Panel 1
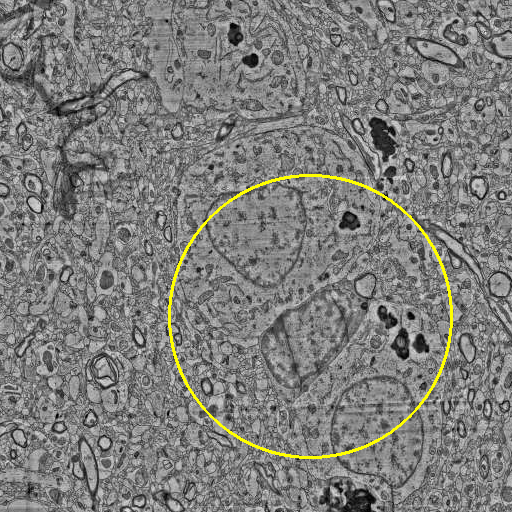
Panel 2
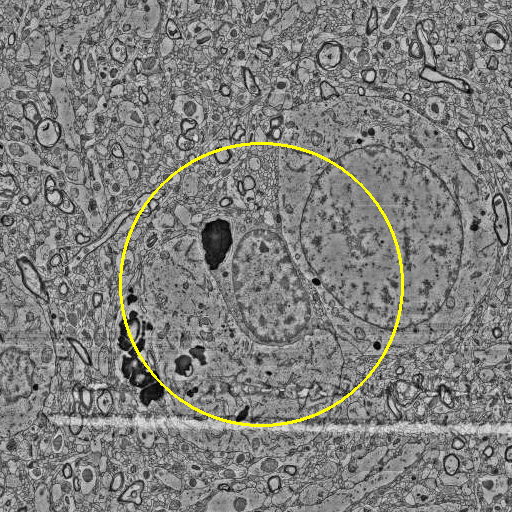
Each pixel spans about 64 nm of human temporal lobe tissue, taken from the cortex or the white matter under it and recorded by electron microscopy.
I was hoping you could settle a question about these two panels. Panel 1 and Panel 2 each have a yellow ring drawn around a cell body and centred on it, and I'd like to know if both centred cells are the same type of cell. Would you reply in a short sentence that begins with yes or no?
Yes, both are the same type of cell.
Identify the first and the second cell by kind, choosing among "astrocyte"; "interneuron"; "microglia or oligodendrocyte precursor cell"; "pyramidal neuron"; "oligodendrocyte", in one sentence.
Both pictures show an oligodendrocyte at the centre of the ring.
